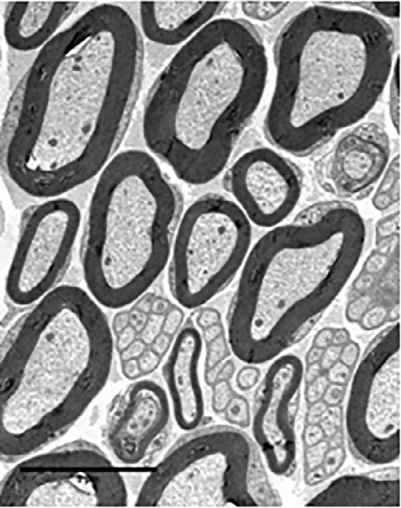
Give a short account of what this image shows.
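Transverse section of peripheral nerve showing myelinated axons of varied calibre, cut across. Each large axon has pale, finely granular axoplasm with a few scattered dark dots and is wrapped by a thick, uniformly dark, compact myelin sheath. Axon outlines range from round to oval and somewhat angular. Between the myelinated fibres lie groups of small, pale, unmyelinated axons packed together in bundles. Pale endoneurial space separates the fibres.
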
